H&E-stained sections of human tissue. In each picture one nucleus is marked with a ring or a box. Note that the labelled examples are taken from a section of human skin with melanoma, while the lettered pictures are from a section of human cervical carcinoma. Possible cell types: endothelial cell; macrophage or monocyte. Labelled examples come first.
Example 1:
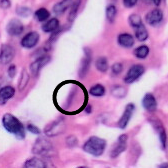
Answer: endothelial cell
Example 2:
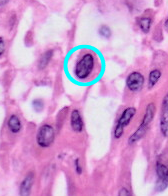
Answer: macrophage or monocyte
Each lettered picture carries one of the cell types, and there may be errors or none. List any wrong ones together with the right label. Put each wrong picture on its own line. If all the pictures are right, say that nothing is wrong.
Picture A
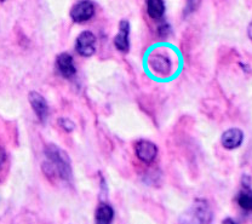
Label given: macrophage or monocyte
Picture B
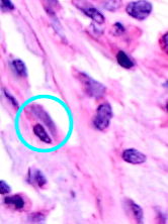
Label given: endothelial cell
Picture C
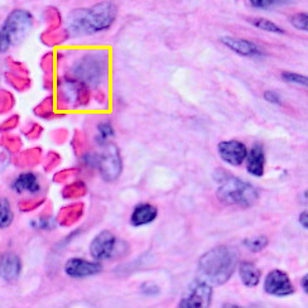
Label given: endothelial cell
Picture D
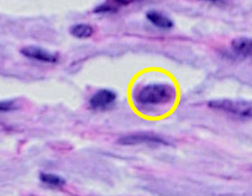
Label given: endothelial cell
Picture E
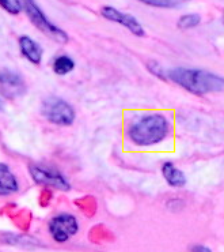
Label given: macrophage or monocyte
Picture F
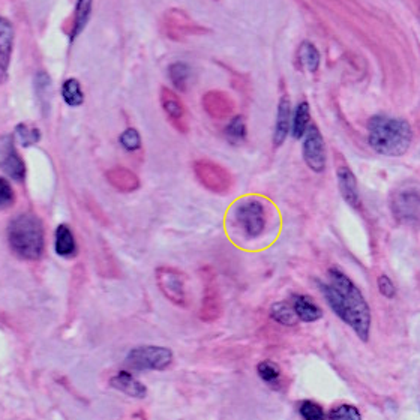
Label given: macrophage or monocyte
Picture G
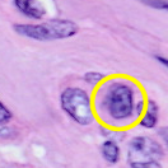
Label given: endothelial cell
B: not endothelial cell but macrophage or monocyte
D: not endothelial cell but macrophage or monocyte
